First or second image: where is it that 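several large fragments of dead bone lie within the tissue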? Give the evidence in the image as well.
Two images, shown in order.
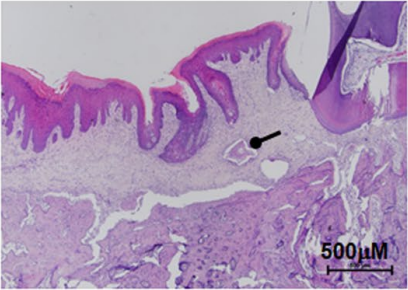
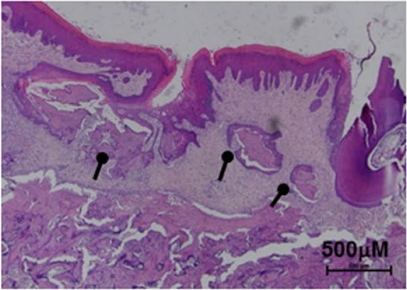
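First image: only one small pale bone fragment is seen below the epithelium. That points to this answer: the second image.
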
